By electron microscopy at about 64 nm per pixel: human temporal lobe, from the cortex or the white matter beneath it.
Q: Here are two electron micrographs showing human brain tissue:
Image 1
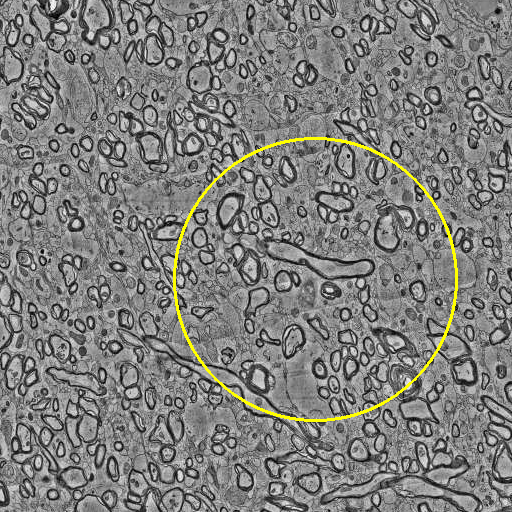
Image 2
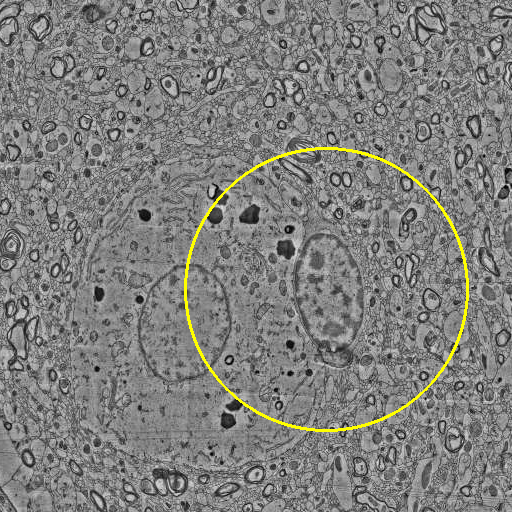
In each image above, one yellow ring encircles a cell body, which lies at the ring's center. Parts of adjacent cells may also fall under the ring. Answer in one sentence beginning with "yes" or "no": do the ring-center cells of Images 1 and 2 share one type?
Yes, in Images 1 and 2, the ring-center cells are both of one type.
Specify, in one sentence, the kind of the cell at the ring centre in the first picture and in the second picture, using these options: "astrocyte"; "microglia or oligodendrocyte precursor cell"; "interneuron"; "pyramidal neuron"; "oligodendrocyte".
Each cell at the centre of a ring is an oligodendrocyte.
